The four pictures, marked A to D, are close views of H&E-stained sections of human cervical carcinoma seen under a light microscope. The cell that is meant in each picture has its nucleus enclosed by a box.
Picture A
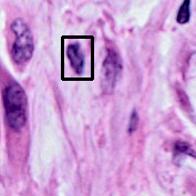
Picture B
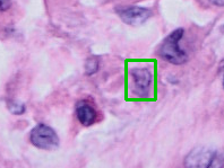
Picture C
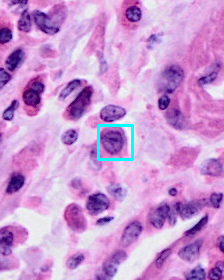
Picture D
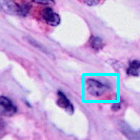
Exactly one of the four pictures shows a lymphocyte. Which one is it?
A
